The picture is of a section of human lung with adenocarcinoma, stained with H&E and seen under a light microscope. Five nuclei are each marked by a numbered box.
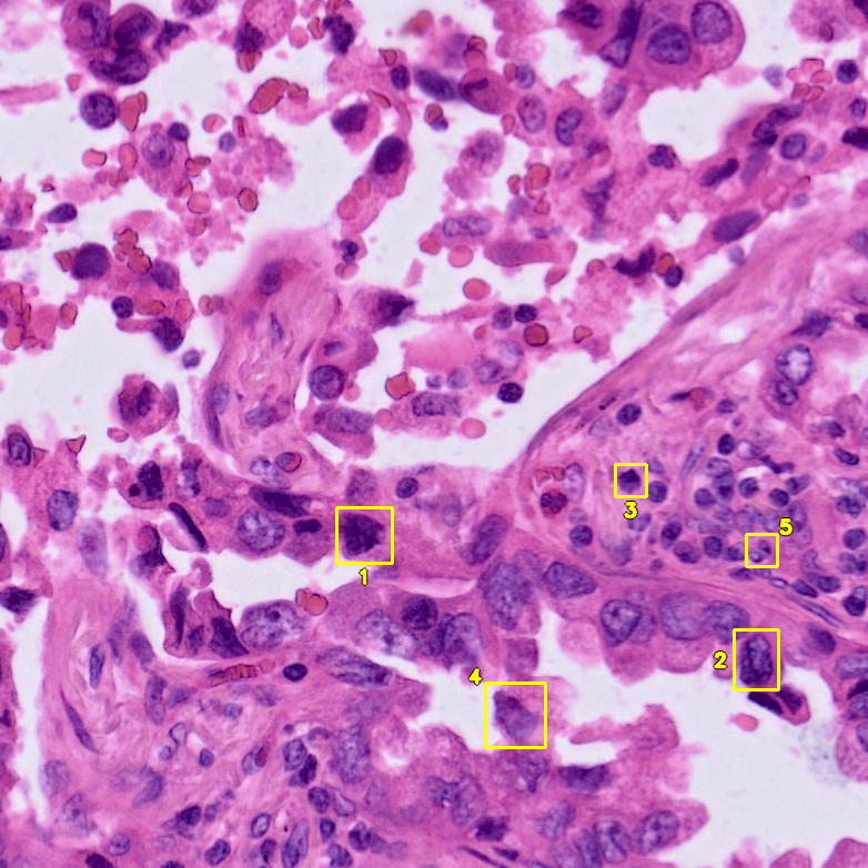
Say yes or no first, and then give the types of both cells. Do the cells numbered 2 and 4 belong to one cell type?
Yes, sure, cells 2 and 4 are both carcinoma cells.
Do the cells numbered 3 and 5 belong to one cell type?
Yes, cell 3 is one of the lymphocytes, and so is cell 5.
